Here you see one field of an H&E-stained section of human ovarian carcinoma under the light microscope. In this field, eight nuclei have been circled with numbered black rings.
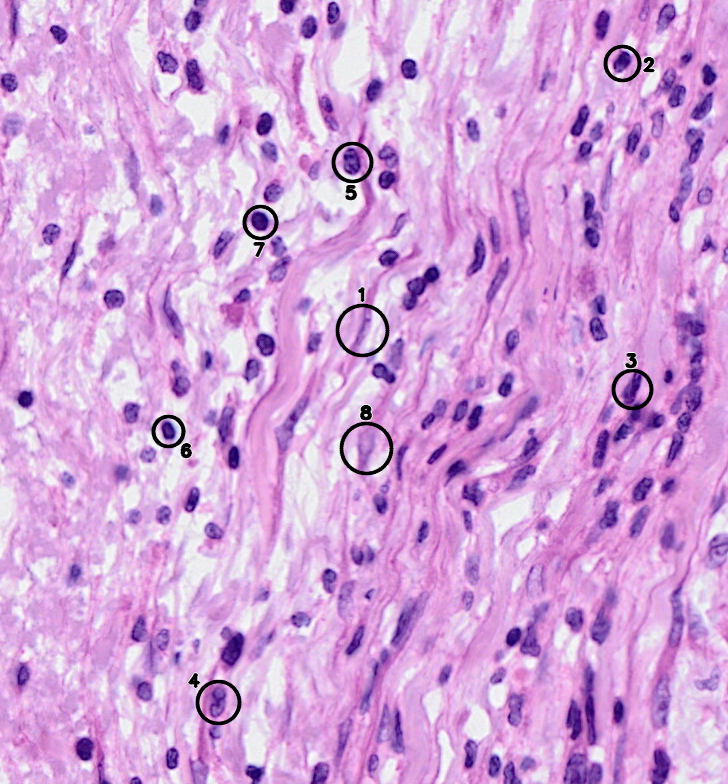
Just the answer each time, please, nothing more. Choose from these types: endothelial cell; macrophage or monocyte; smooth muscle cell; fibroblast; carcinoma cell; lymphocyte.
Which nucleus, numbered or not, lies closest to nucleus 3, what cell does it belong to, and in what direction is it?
a lymphocyte; below nucleus 3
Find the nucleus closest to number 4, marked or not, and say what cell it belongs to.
lymphocyte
